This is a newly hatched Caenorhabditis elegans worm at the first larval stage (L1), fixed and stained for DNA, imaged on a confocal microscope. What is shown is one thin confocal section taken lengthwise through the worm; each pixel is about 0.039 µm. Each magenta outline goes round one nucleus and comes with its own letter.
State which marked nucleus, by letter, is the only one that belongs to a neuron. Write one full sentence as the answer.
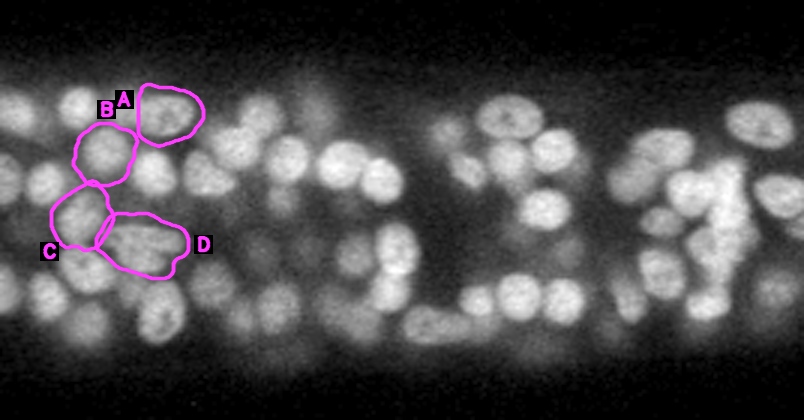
B is the one that belongs to a neuron.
